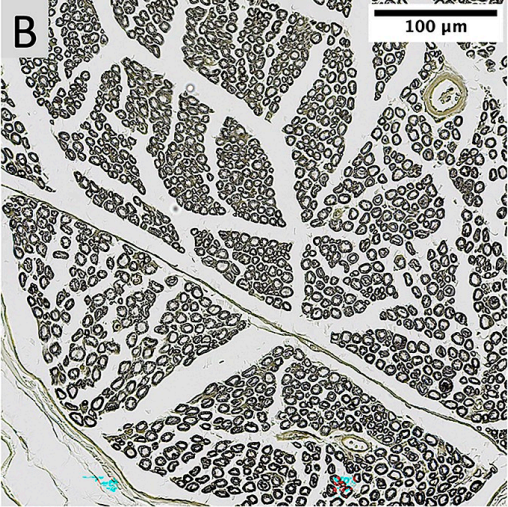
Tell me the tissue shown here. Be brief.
Nerve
